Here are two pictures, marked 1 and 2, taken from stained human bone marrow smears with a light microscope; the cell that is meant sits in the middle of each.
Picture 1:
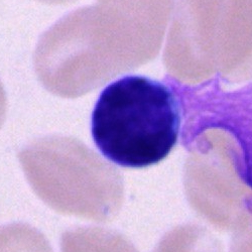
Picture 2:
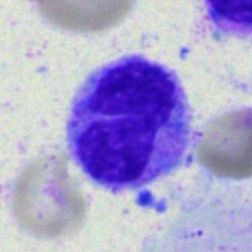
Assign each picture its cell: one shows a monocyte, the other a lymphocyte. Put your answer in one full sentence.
The cell in picture 1 is a lymphocyte, and the one in picture 2 is a monocyte.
